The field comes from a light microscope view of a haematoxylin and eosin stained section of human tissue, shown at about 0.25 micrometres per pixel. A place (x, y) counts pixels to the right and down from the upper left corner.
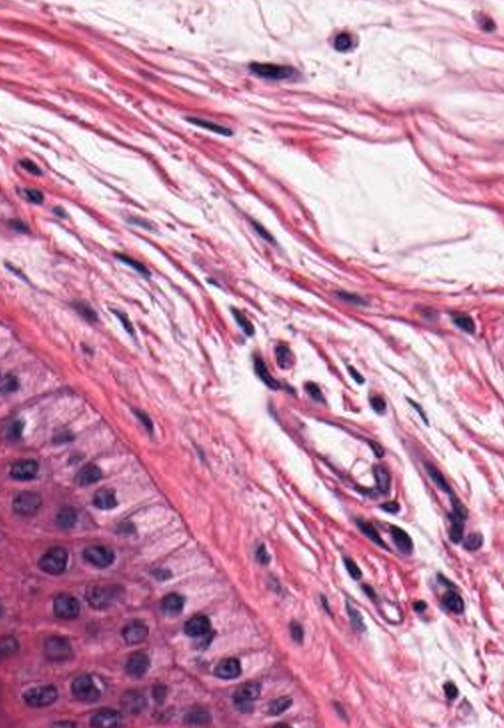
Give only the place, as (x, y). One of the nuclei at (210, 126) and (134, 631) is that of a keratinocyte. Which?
(134, 631)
